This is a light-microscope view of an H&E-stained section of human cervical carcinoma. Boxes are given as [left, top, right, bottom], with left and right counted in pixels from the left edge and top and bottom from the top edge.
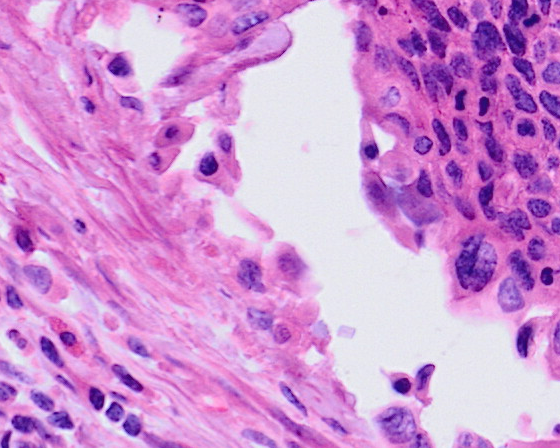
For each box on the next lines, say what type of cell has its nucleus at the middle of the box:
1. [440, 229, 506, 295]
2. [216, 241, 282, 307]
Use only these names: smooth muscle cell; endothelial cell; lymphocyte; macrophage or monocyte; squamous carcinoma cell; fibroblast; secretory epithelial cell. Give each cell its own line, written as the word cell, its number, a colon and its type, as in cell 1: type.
cell 1: squamous carcinoma cell
cell 2: macrophage or monocyte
